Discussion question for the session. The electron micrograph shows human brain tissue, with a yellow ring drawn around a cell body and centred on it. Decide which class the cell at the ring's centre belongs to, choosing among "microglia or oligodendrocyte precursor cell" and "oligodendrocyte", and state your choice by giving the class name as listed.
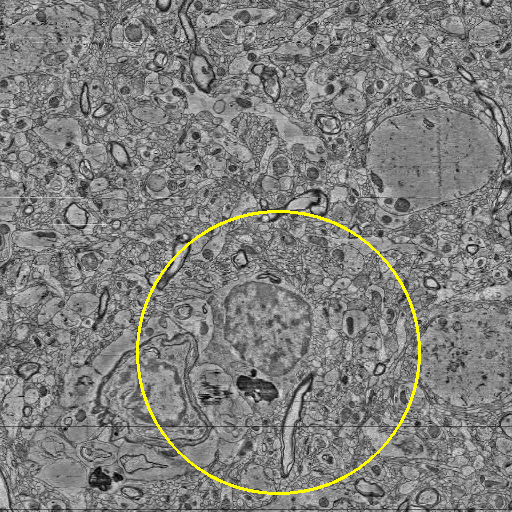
oligodendrocyte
